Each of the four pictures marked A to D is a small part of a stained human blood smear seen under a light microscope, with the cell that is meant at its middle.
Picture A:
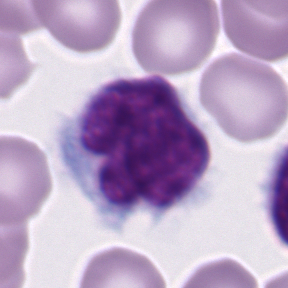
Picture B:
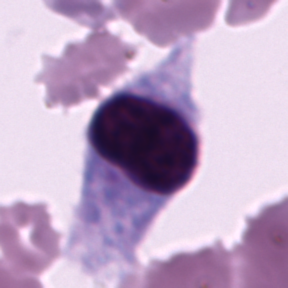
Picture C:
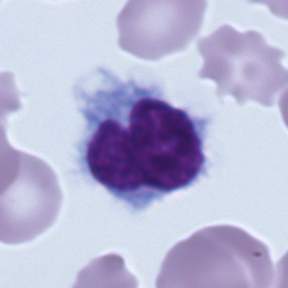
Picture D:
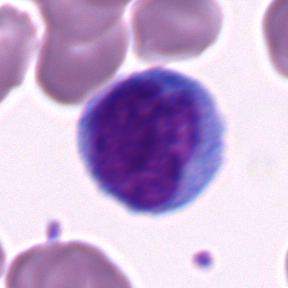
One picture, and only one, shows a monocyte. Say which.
D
